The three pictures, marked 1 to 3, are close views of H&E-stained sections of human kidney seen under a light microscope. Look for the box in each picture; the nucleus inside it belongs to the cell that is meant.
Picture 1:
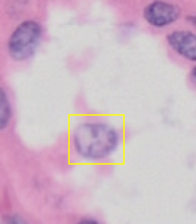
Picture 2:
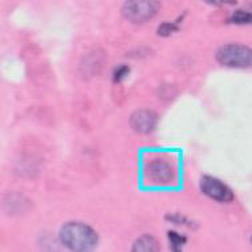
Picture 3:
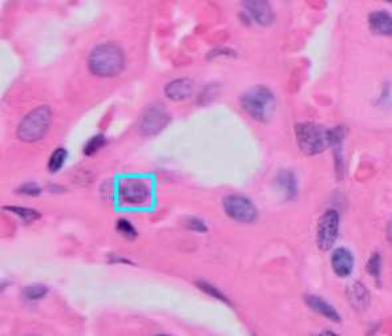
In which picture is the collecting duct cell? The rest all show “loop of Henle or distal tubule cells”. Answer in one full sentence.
The collecting duct cell is the one in picture 3.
